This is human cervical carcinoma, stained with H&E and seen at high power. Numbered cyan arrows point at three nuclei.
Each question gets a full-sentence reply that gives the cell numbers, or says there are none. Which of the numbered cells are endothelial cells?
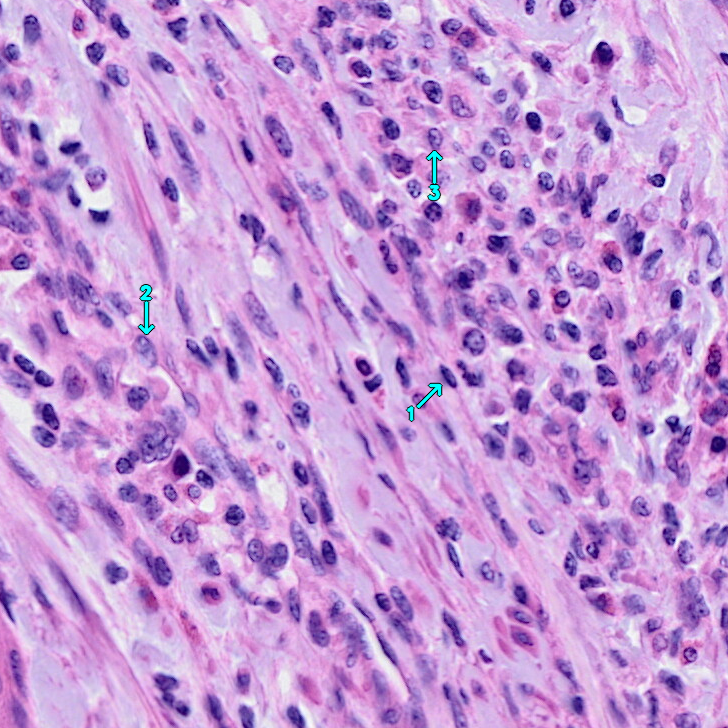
Cell 2 is the only numbered cell that is an endothelial cell.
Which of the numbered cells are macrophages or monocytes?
Within the set of numbered cells, only number 3 is a macrophage or monocyte.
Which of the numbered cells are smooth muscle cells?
The numbered cells, every one of them, are not smooth muscle cells.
